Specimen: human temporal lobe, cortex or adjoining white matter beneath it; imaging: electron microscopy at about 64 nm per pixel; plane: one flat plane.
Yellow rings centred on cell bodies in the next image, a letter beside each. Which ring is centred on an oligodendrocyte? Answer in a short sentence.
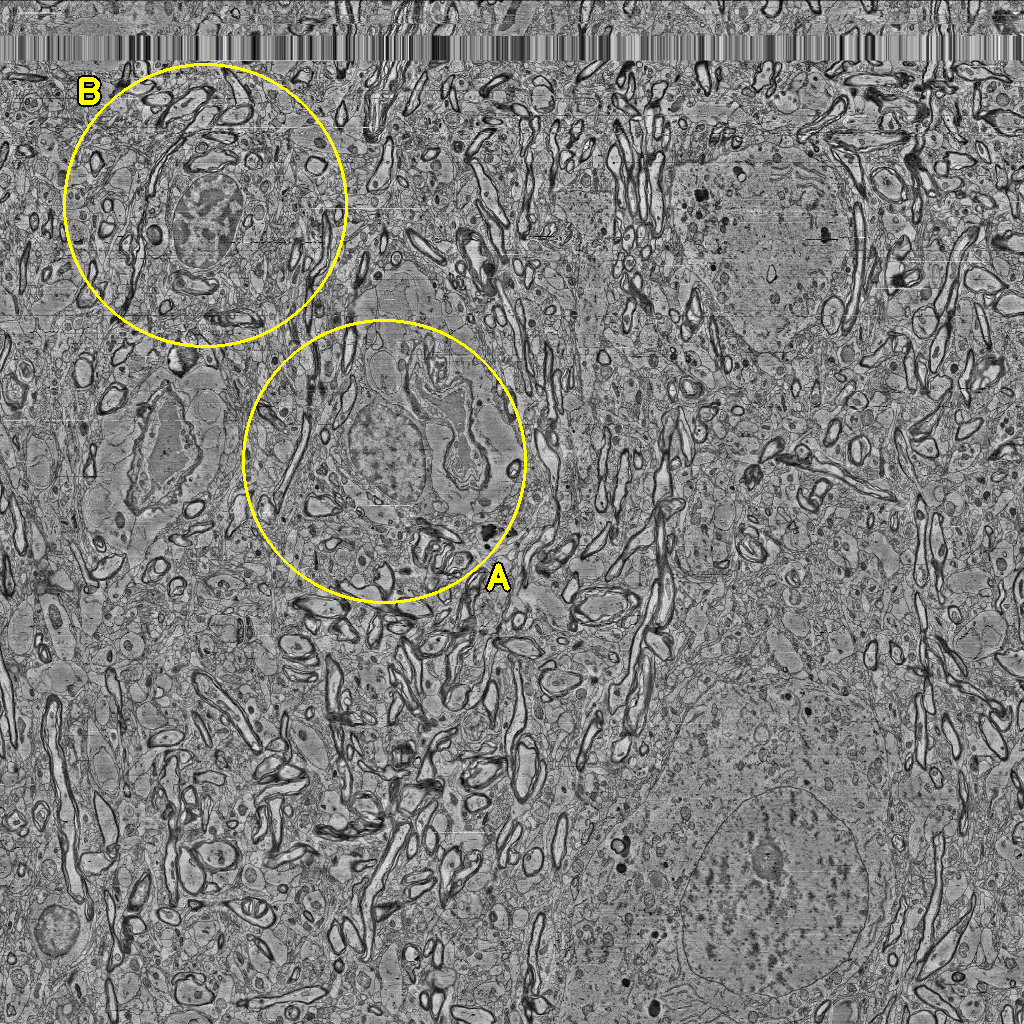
Ring A is centred on it.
